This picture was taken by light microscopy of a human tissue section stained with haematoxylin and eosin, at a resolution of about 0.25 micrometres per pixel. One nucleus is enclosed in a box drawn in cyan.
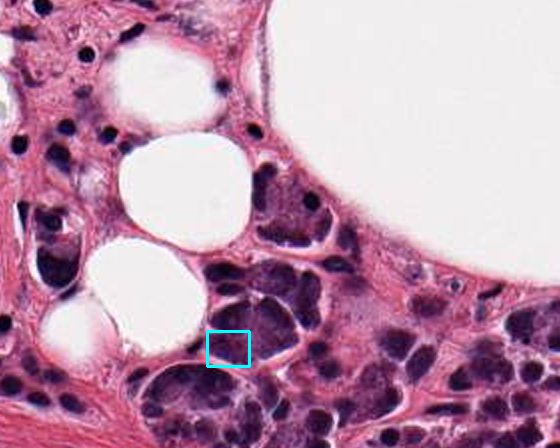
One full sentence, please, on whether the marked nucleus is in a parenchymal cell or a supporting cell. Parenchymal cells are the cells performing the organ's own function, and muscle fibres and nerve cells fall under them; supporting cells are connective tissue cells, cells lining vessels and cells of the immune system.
The marked nucleus is identified as that of a parenchymal cell, namely a pancreatic acinar cell.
